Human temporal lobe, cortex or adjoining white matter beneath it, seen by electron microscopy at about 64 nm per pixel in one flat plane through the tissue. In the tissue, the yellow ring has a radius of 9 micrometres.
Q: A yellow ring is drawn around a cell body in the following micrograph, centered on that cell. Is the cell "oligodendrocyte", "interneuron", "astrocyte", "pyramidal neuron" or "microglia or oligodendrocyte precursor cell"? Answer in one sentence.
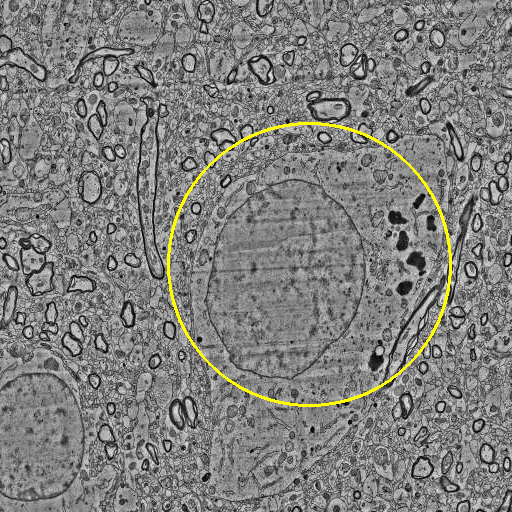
The cell in the center of the ring is a pyramidal neuron.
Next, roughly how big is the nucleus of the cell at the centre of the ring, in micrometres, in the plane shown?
About 13 by 10 micrometers, in this plane.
